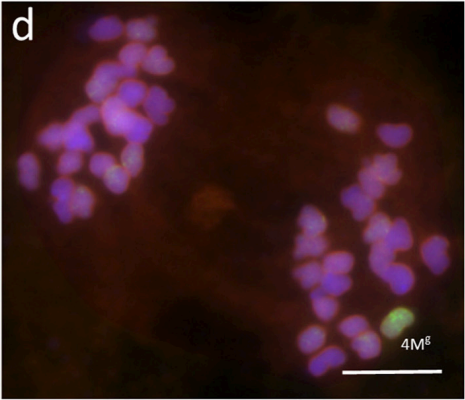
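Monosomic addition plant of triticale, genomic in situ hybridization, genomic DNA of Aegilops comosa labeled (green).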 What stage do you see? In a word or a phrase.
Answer: Anaphase/telophase I of meiosis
